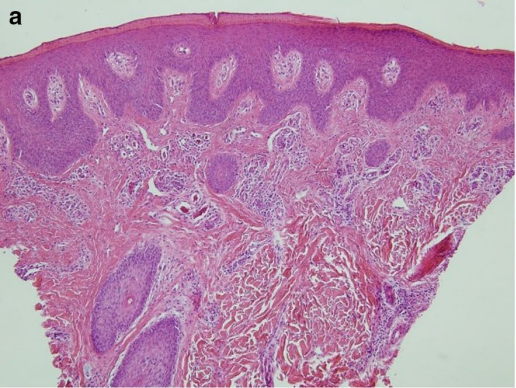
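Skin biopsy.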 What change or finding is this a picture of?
Irregular acanthosis.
